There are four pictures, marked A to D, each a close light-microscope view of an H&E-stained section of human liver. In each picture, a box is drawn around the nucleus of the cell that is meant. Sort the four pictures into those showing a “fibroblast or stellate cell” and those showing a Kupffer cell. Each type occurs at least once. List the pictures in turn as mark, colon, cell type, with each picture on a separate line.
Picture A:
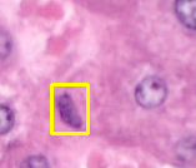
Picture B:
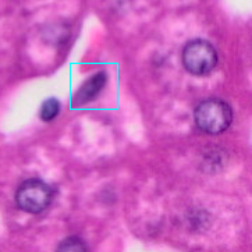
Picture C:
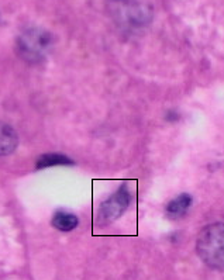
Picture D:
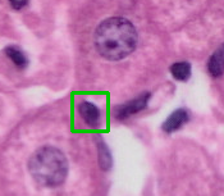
A: fibroblast or stellate cell
B: Kupffer cell
C: Kupffer cell
D: fibroblast or stellate cell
